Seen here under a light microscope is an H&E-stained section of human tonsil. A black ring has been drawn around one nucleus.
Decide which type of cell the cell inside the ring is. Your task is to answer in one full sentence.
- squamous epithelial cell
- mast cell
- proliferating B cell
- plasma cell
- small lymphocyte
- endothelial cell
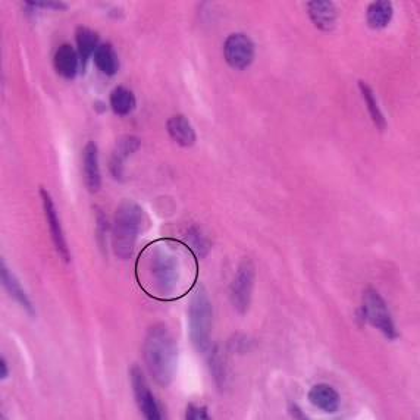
With respect to cell type, the cell inside the ring is an endothelial cell.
